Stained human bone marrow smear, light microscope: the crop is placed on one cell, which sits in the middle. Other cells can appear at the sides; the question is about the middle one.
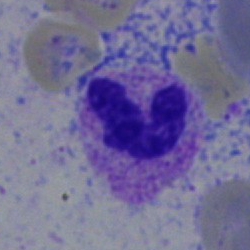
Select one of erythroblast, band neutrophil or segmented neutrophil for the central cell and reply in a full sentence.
The cell shown in the center of this light-microscope crop is a segmented neutrophil.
